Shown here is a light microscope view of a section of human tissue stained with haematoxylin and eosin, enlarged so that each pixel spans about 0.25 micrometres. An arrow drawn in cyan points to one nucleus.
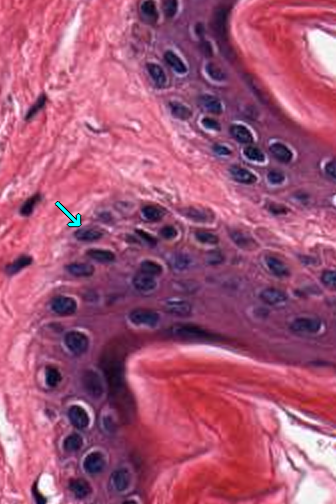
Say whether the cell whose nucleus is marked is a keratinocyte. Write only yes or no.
yes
